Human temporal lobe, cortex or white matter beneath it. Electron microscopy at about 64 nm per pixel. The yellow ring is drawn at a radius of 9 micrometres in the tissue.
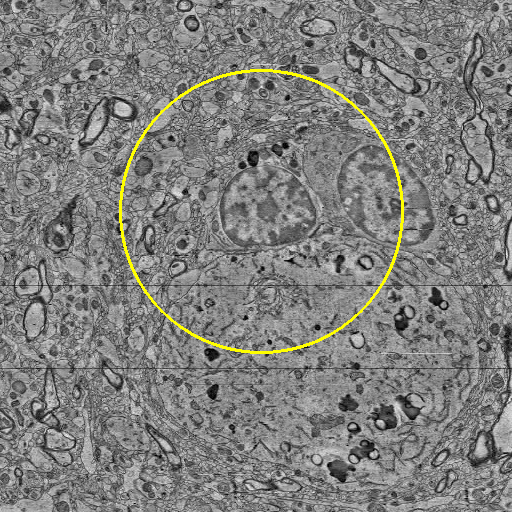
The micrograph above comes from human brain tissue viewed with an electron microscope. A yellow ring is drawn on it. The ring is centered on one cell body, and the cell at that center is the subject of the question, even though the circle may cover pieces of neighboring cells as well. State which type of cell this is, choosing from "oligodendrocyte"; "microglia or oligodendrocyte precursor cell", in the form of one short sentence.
The cell the ring is centered on is a microglial cell or oligodendrocyte precursor cell.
